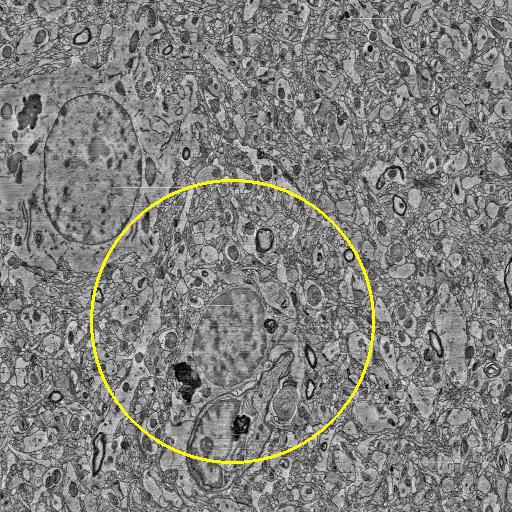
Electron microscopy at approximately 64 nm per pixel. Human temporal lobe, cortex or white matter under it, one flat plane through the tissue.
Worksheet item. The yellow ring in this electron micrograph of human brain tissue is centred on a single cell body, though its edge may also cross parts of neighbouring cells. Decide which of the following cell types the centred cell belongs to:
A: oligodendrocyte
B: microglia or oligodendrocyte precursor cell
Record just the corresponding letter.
A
